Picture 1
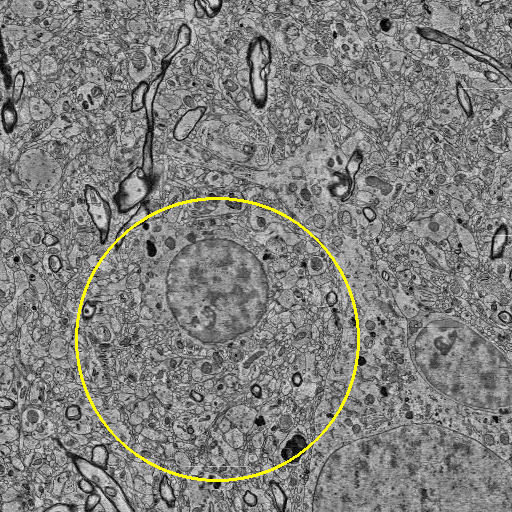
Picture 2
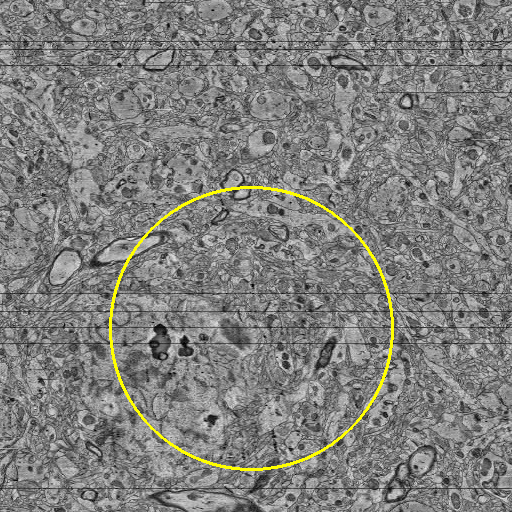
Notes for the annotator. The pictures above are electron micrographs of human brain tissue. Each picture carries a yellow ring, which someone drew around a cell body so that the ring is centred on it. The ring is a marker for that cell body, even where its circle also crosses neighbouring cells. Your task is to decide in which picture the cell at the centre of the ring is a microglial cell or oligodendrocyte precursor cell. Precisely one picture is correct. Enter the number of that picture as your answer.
2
